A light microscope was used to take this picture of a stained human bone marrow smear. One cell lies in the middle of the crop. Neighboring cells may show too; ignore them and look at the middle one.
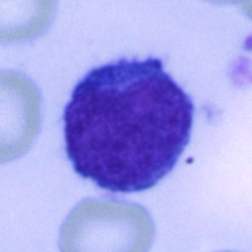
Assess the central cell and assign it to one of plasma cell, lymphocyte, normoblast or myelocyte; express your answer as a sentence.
Present in the middle of the crop is a lymphocyte.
